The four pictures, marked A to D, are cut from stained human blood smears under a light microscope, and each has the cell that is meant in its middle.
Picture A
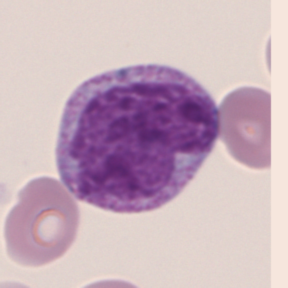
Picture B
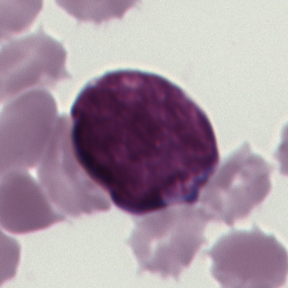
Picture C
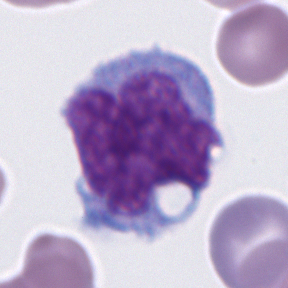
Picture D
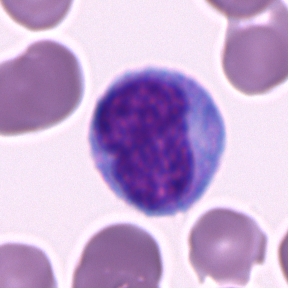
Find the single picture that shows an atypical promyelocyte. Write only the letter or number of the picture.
A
